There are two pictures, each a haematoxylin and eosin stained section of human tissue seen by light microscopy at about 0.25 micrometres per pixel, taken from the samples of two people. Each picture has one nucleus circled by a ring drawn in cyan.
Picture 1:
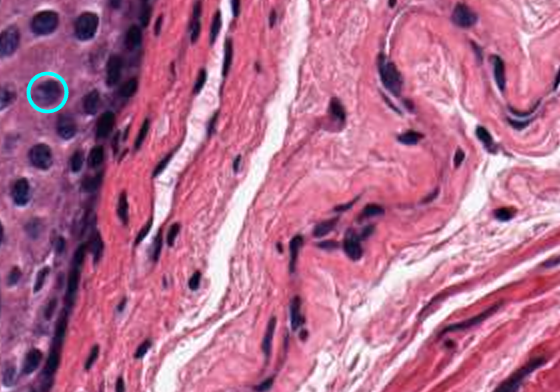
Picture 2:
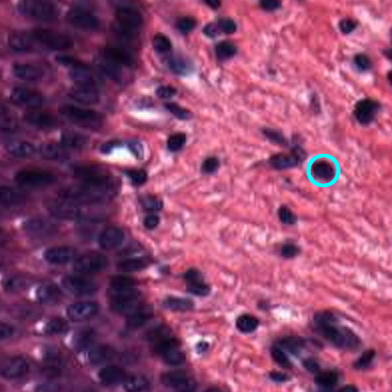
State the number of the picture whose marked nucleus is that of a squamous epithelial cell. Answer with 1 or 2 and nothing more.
1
